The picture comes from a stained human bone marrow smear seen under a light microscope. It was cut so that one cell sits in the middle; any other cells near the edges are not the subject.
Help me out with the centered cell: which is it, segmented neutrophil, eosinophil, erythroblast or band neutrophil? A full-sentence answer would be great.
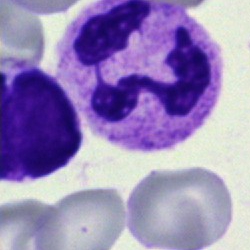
On this slide crop, the central cell is a segmented neutrophil.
